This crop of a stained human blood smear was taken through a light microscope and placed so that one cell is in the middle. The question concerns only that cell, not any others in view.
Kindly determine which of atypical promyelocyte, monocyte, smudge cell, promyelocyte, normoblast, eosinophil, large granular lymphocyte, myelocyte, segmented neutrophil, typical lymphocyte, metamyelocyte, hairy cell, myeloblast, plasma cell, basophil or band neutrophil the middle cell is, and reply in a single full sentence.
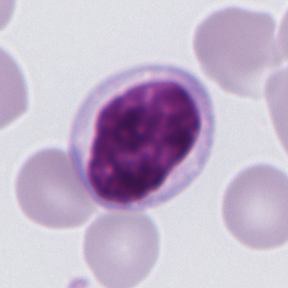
This particular crop is centered on a large granular lymphocyte.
